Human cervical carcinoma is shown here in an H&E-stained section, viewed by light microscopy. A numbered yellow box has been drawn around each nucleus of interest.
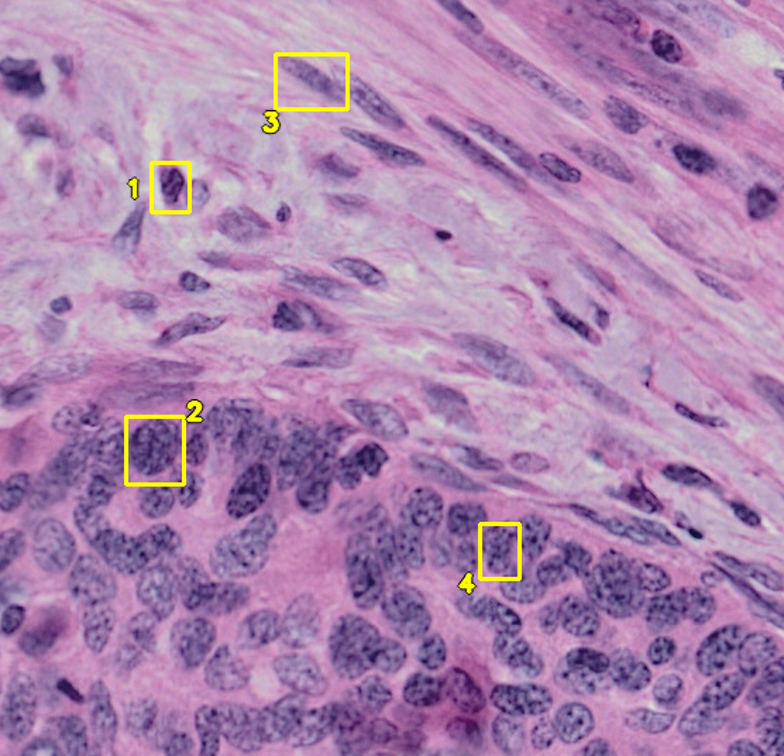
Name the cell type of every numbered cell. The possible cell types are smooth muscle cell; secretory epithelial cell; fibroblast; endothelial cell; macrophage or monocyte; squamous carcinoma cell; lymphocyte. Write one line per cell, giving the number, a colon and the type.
1: macrophage or monocyte
2: squamous carcinoma cell
3: fibroblast
4: squamous carcinoma cell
